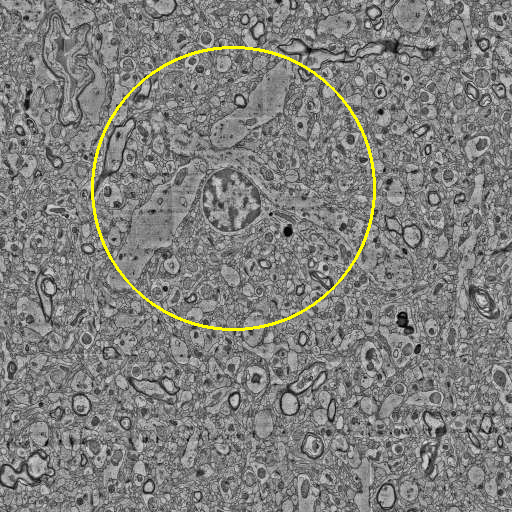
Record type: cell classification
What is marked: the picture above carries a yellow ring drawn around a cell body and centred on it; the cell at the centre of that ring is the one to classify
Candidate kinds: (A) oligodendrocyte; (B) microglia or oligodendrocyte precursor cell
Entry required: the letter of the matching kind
B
